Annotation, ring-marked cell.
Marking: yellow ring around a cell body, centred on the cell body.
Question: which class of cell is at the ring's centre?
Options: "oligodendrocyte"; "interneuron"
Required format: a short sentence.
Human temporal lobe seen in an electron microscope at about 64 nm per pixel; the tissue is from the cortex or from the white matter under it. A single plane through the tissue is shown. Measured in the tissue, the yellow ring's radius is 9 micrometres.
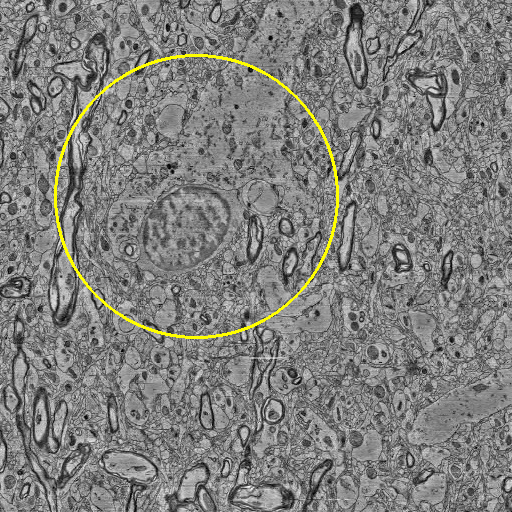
At the ring's centre is an oligodendrocyte.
